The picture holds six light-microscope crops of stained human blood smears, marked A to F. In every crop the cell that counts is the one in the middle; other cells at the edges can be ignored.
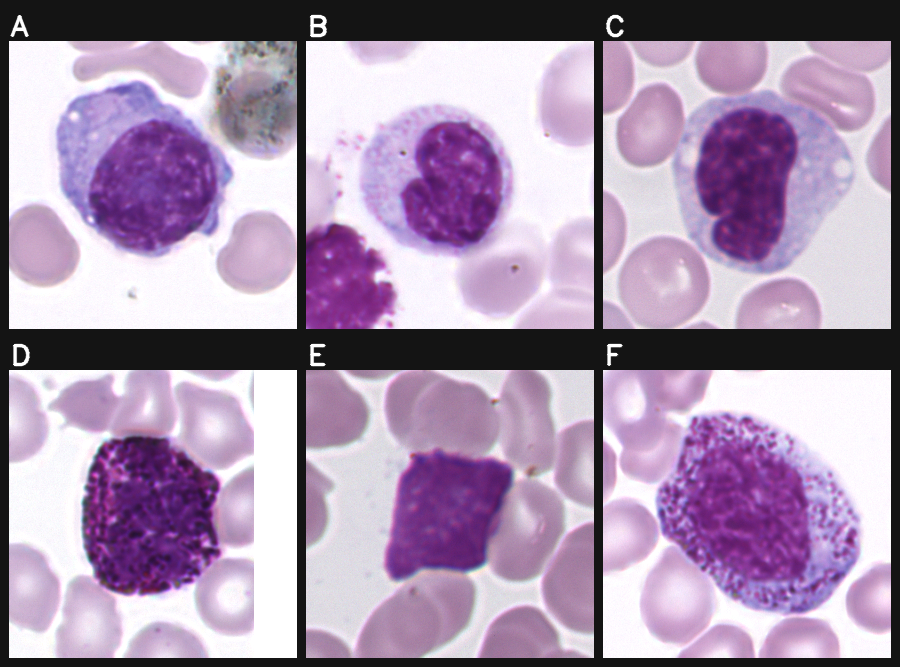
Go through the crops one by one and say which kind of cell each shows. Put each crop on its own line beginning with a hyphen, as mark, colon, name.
- A: plasma cell
- B: metamyelocyte
- C: monocyte
- D: basophil
- E: smudge cell
- F: promyelocyte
